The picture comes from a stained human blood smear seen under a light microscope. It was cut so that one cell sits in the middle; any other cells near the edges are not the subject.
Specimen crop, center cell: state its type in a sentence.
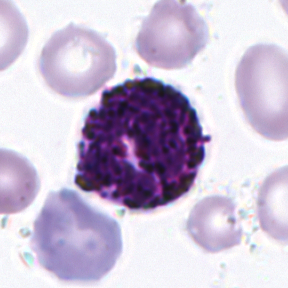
To answer, the cell in the center of the crop is a basophil.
